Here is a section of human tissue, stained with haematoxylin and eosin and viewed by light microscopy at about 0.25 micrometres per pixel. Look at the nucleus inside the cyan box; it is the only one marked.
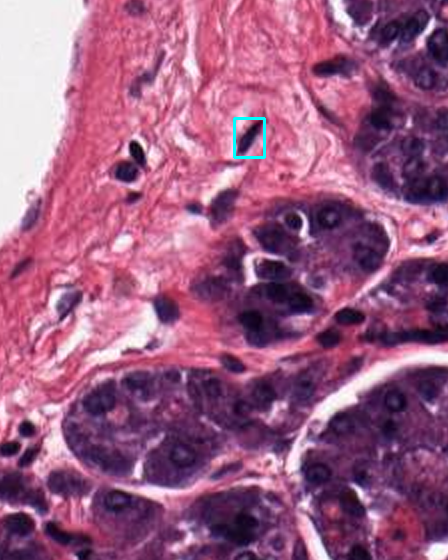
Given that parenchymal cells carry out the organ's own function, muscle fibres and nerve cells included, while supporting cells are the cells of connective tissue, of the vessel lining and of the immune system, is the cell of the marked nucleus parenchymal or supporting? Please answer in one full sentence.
It is a supporting cell to which the marked nucleus belongs.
